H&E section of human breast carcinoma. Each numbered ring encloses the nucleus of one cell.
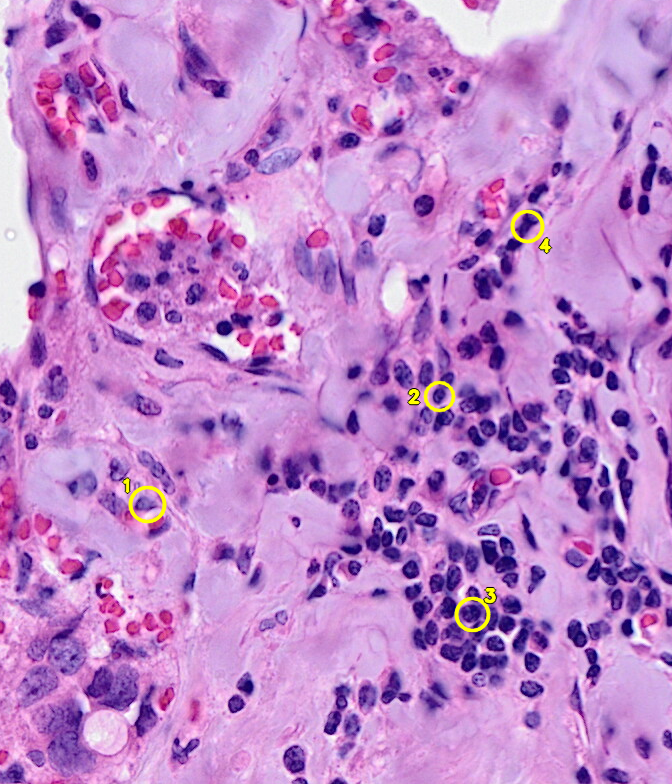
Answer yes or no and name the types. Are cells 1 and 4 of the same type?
No, sorry, cell 1 is an endothelial cell and cell 4 is a lymphocyte.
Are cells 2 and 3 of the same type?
Yes, cells 2 and 3 both qualify as lymphocytes.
